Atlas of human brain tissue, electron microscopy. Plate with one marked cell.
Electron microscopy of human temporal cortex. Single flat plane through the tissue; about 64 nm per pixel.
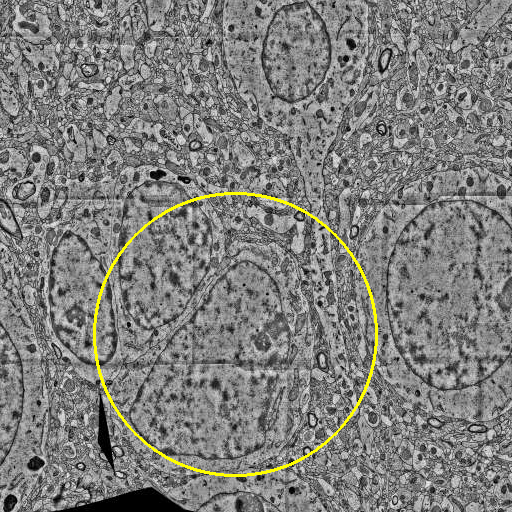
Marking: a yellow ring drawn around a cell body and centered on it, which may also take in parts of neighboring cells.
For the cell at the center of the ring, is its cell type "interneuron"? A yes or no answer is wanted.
Yes, that is its cell type.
